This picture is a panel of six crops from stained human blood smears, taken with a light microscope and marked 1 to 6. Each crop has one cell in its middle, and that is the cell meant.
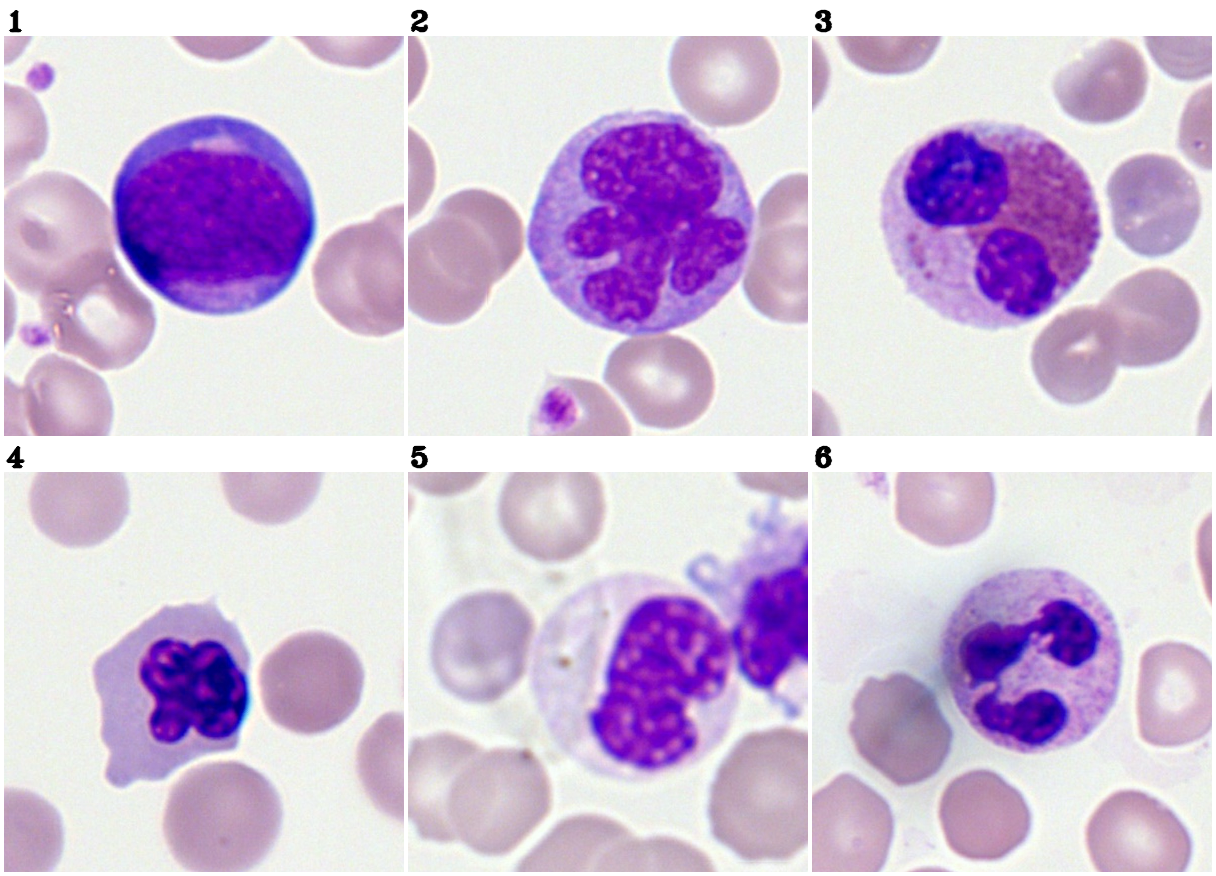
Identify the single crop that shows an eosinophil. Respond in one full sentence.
Only in crop 3 is an eosinophil shown.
